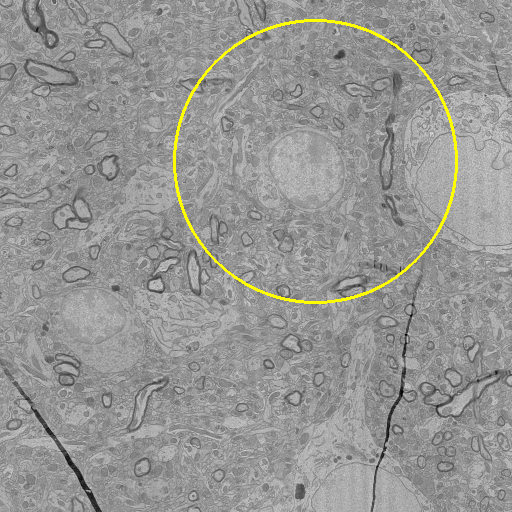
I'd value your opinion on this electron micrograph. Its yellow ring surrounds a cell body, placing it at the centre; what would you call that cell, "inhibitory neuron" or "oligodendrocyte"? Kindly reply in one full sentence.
It is an oligodendrocyte that sits centred within the yellow ring in this micrograph.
